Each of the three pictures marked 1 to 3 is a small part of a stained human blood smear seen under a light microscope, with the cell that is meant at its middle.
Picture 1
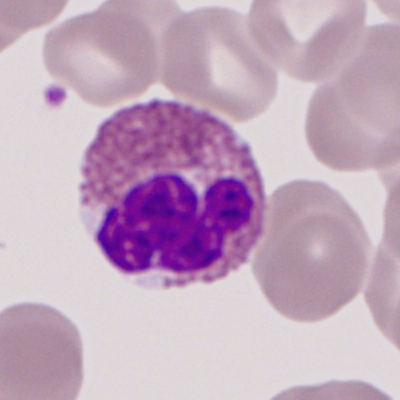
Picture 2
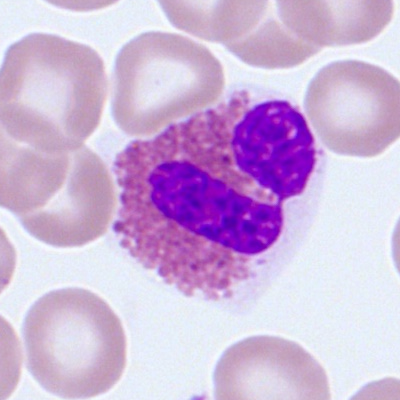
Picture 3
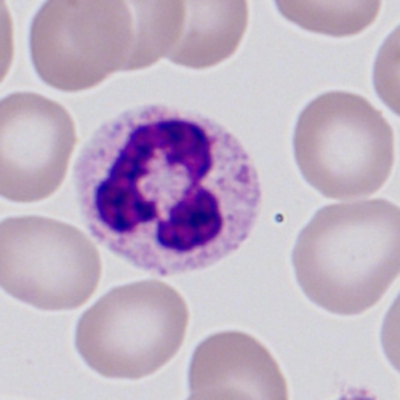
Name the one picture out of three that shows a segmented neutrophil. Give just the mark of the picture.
3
